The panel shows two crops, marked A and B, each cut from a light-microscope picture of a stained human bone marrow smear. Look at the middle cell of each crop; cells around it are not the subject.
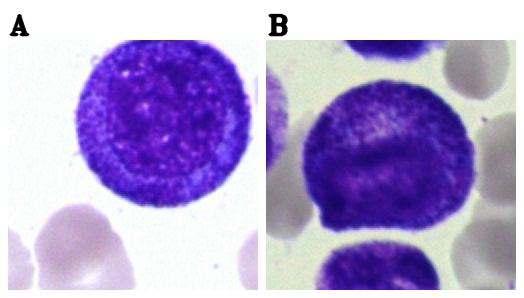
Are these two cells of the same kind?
yes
